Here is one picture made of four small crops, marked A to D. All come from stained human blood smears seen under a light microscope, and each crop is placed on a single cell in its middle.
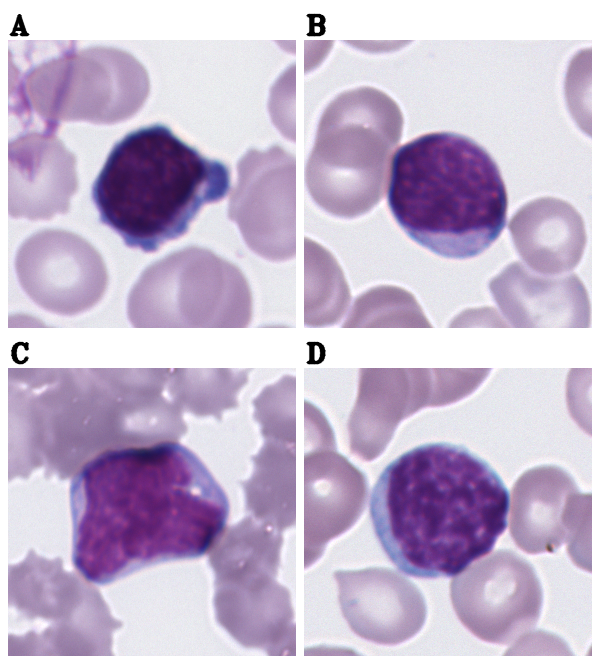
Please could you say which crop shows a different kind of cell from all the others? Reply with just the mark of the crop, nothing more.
A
